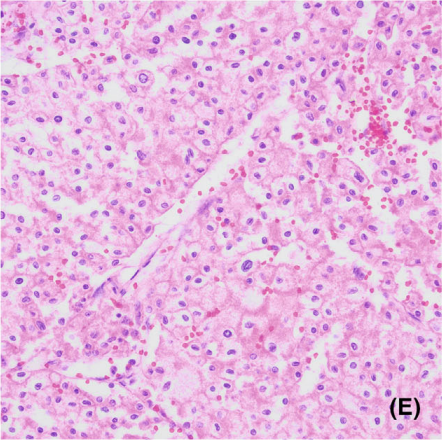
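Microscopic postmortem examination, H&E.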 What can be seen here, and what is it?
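This is a solid sheet of large epithelioid tumour cells, polygonal in shape, separated by thin vascular channels containing red blood cells. The cells have abundant pale pink to clear, finely granular cytoplasm and sharply drawn cell borders that give a plant-cell-like mosaic. No glands or papillae are formed; the growth is solid.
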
